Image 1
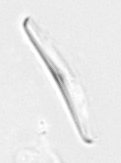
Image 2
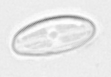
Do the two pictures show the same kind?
Yes, both are Achnanthidium.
